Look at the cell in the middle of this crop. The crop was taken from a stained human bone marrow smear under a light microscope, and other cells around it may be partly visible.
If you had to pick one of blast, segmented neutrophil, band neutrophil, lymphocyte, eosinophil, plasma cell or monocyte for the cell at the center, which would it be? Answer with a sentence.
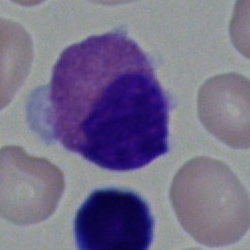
Looking at the middle of the crop, the cell there is an eosinophil.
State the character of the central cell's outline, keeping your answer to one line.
The cell is bounded by a ragged or projection-bearing margin rather than a smooth one.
